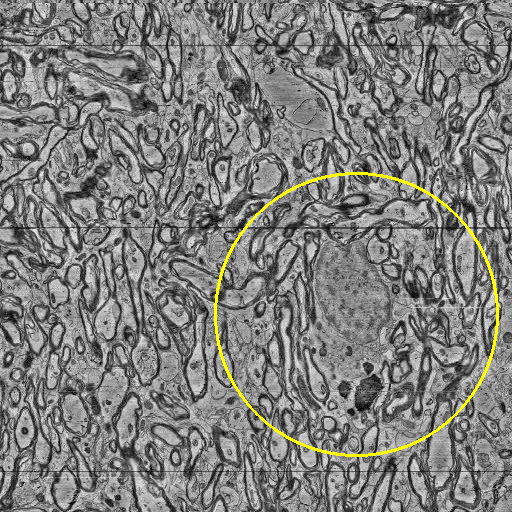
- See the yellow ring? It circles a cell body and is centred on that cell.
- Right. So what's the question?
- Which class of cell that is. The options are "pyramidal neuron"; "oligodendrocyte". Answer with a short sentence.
The centre of the ring holds an oligodendrocyte.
